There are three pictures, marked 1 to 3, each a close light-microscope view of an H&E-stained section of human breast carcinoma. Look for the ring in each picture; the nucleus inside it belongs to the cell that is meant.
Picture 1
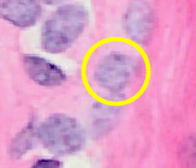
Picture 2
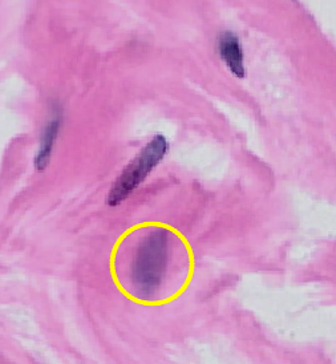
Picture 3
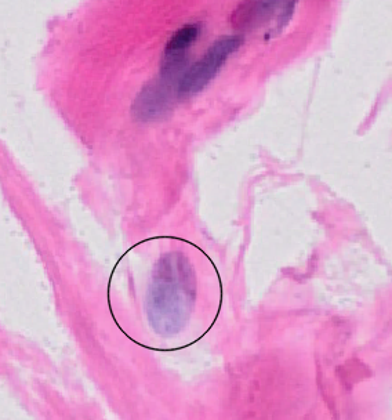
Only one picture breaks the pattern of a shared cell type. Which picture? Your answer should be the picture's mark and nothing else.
1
